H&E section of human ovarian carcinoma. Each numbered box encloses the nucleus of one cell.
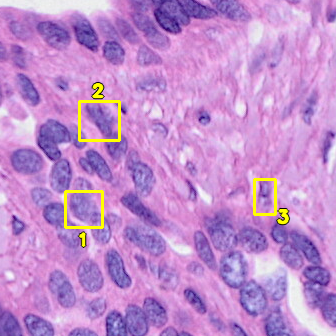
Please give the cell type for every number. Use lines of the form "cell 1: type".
cell 1: carcinoma cell
cell 2: fibroblast
cell 3: fibroblast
